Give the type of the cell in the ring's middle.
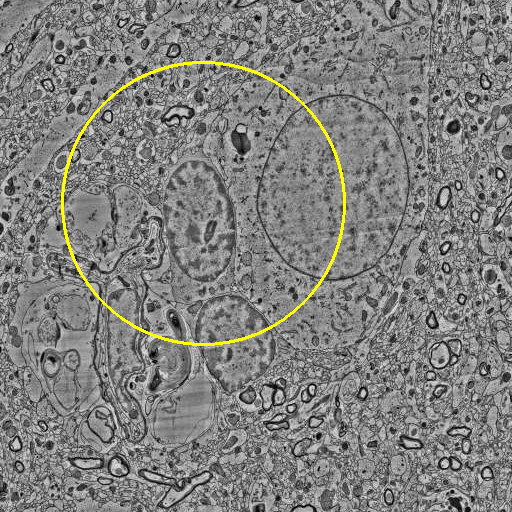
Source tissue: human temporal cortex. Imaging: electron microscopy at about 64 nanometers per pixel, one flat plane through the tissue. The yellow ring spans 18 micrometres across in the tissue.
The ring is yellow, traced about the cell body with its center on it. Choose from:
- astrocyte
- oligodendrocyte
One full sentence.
Here, an oligodendrocyte is the cell lying at the center of the yellow ring.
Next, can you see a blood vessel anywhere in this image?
Yes, the image shows a blood vessel.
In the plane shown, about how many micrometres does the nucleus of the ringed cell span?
In this plane the nucleus measures roughly 8 by 5 micrometers.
